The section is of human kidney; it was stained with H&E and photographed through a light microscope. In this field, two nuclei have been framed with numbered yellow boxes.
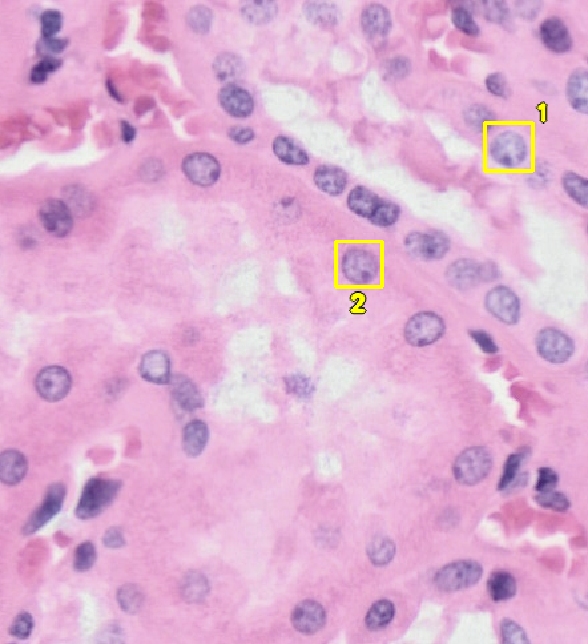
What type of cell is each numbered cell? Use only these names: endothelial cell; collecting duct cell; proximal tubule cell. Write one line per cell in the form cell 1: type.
cell 1: collecting duct cell
cell 2: proximal tubule cell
